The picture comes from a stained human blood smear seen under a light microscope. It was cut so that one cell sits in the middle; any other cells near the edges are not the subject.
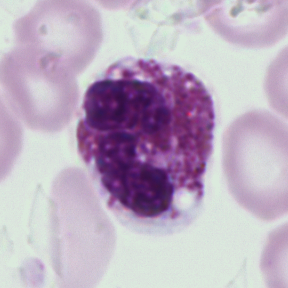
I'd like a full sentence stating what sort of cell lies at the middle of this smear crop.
The centered cell in this crop is an eosinophil.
